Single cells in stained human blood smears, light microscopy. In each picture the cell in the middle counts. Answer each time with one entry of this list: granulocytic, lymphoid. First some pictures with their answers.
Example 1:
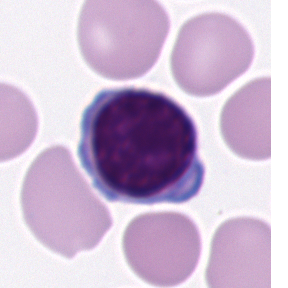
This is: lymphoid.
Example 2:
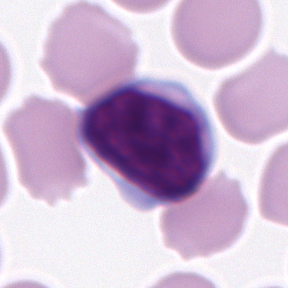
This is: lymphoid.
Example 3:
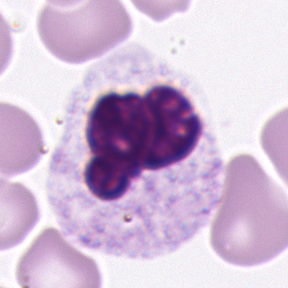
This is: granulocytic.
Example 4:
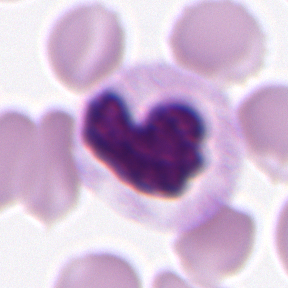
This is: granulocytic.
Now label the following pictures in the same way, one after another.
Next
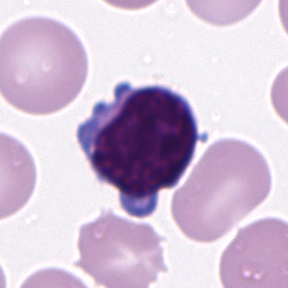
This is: lymphoid.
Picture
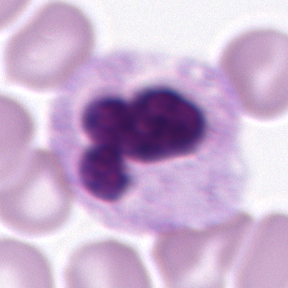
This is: granulocytic.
